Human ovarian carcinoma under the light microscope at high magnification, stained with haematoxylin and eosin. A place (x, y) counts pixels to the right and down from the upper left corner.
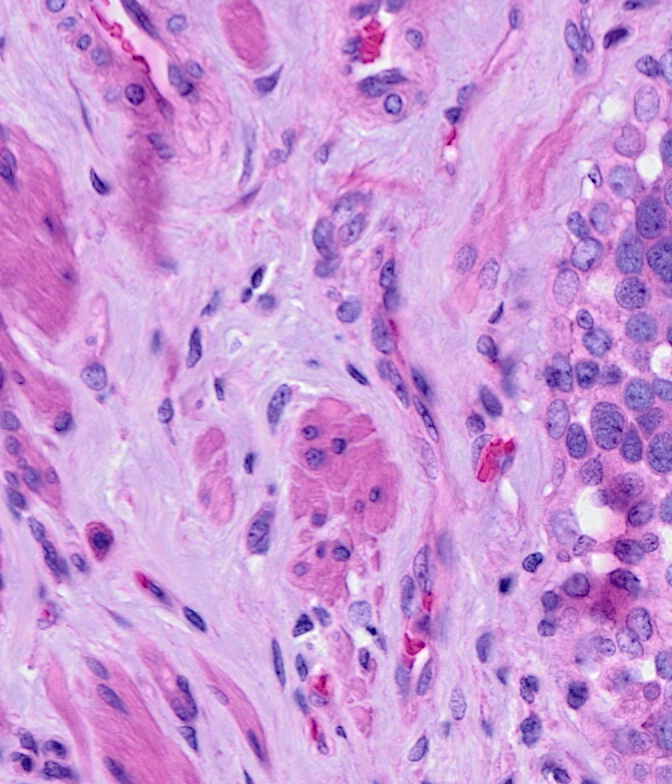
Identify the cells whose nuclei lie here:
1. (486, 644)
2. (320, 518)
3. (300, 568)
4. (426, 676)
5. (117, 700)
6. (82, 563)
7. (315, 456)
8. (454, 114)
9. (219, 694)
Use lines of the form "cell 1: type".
cell 1: fibroblast
cell 2: smooth muscle cell
cell 3: smooth muscle cell
cell 4: endothelial cell
cell 5: smooth muscle cell
cell 6: endothelial cell
cell 7: smooth muscle cell
cell 8: endothelial cell
cell 9: smooth muscle cell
